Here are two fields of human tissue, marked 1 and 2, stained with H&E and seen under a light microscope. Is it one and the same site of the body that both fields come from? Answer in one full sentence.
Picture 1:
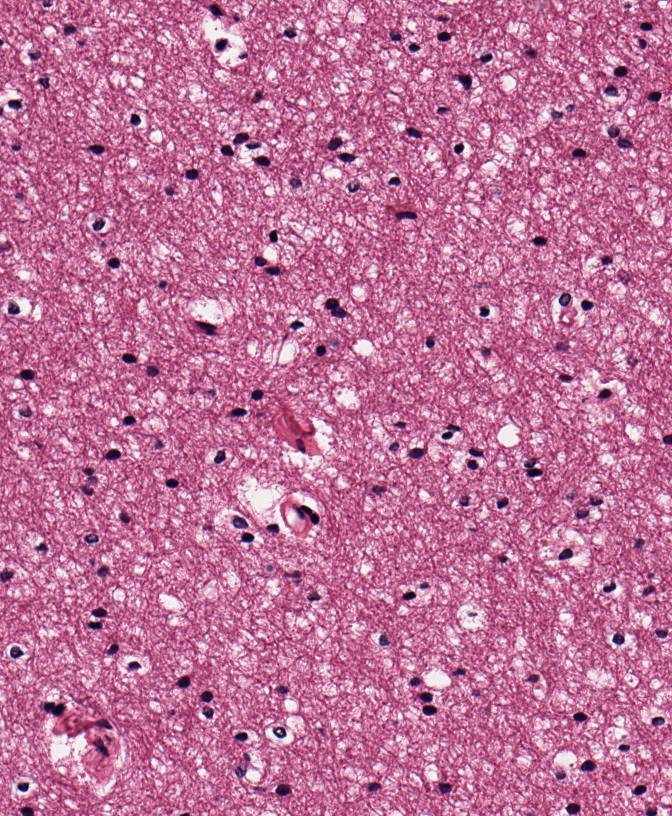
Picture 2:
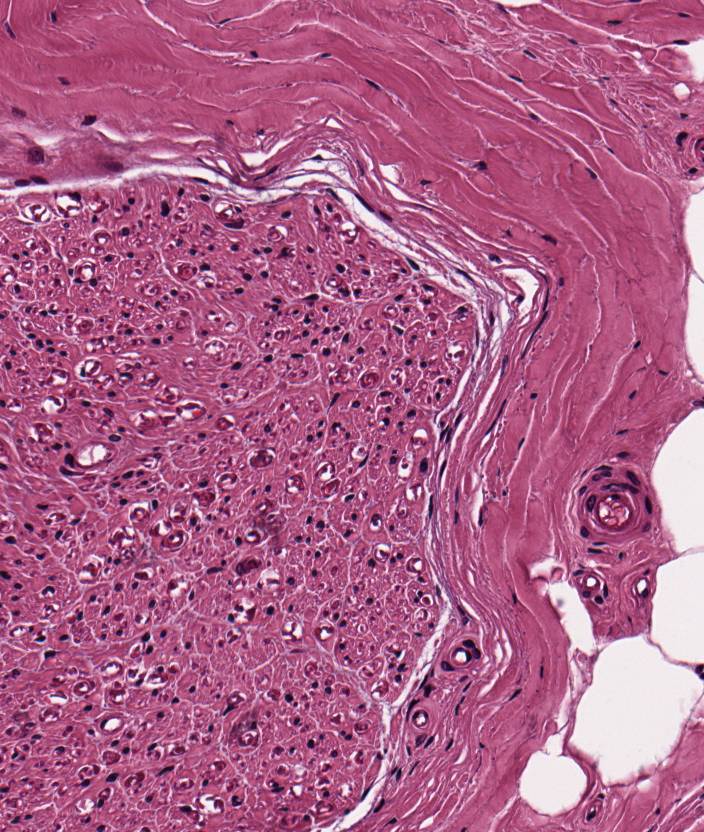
No: picture 1 comes from the cerebral cortex, but picture 2 comes from the tibial nerve.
